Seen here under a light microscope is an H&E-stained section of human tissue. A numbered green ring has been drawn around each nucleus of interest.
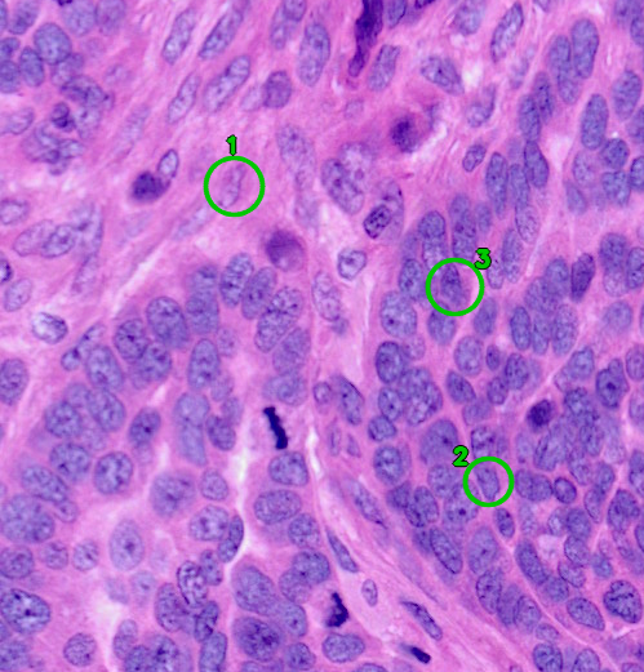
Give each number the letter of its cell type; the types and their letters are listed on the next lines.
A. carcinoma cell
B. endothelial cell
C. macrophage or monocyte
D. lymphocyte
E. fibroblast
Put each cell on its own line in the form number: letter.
1: E
2: A
3: A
